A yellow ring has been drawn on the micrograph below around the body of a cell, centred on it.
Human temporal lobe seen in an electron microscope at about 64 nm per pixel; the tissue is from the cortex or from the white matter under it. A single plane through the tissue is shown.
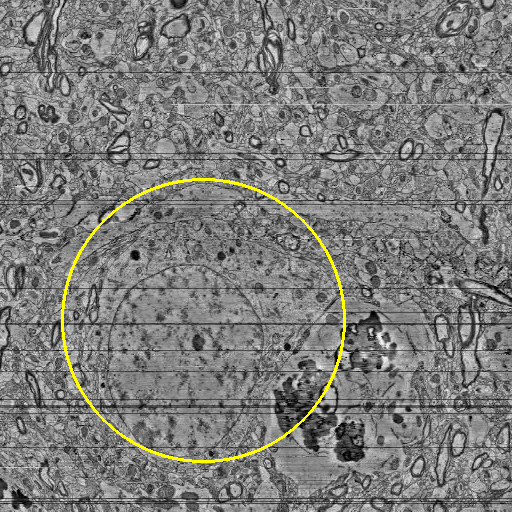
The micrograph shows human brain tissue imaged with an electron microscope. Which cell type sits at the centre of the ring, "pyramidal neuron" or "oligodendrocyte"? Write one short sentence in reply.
The cell sitting at the centre of the ring is a pyramidal neuron.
